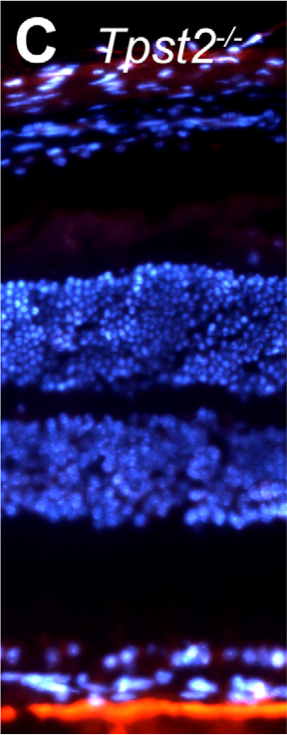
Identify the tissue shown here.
retina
